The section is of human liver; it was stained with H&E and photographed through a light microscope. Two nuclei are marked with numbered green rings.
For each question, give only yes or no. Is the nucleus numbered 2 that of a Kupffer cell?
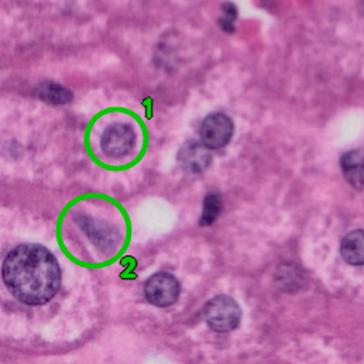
yes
